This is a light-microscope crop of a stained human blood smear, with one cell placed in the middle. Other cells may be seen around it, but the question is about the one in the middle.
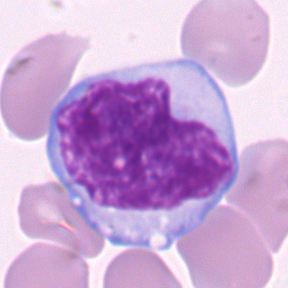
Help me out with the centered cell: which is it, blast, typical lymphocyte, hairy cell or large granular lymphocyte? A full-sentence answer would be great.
Centrally within this crop lies a blast.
